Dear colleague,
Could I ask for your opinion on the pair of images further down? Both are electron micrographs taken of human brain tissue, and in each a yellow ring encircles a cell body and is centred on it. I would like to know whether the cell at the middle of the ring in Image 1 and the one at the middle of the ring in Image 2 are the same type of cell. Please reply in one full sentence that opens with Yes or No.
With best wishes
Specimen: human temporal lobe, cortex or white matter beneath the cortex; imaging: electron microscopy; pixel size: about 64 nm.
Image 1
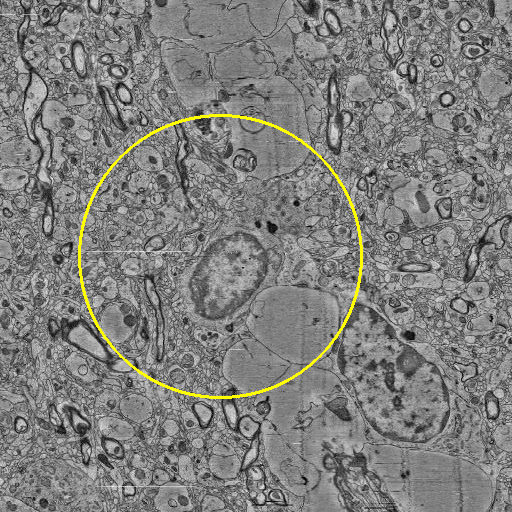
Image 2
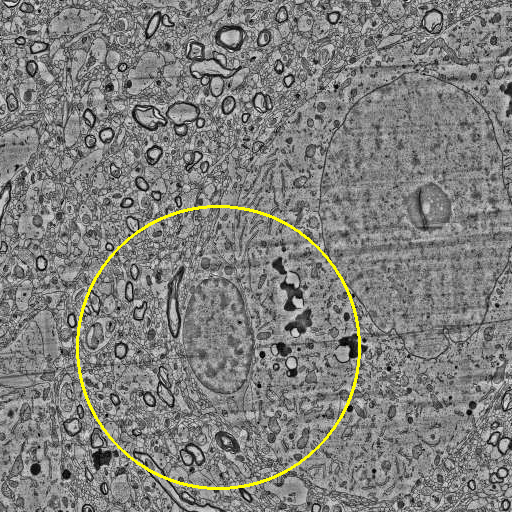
Yes, the cells at the ring centres in Image 1 and Image 2 are of one type.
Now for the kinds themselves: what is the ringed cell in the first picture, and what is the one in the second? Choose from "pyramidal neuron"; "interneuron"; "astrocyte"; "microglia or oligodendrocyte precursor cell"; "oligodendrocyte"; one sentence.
Each cell at the centre of a ring is an oligodendrocyte.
